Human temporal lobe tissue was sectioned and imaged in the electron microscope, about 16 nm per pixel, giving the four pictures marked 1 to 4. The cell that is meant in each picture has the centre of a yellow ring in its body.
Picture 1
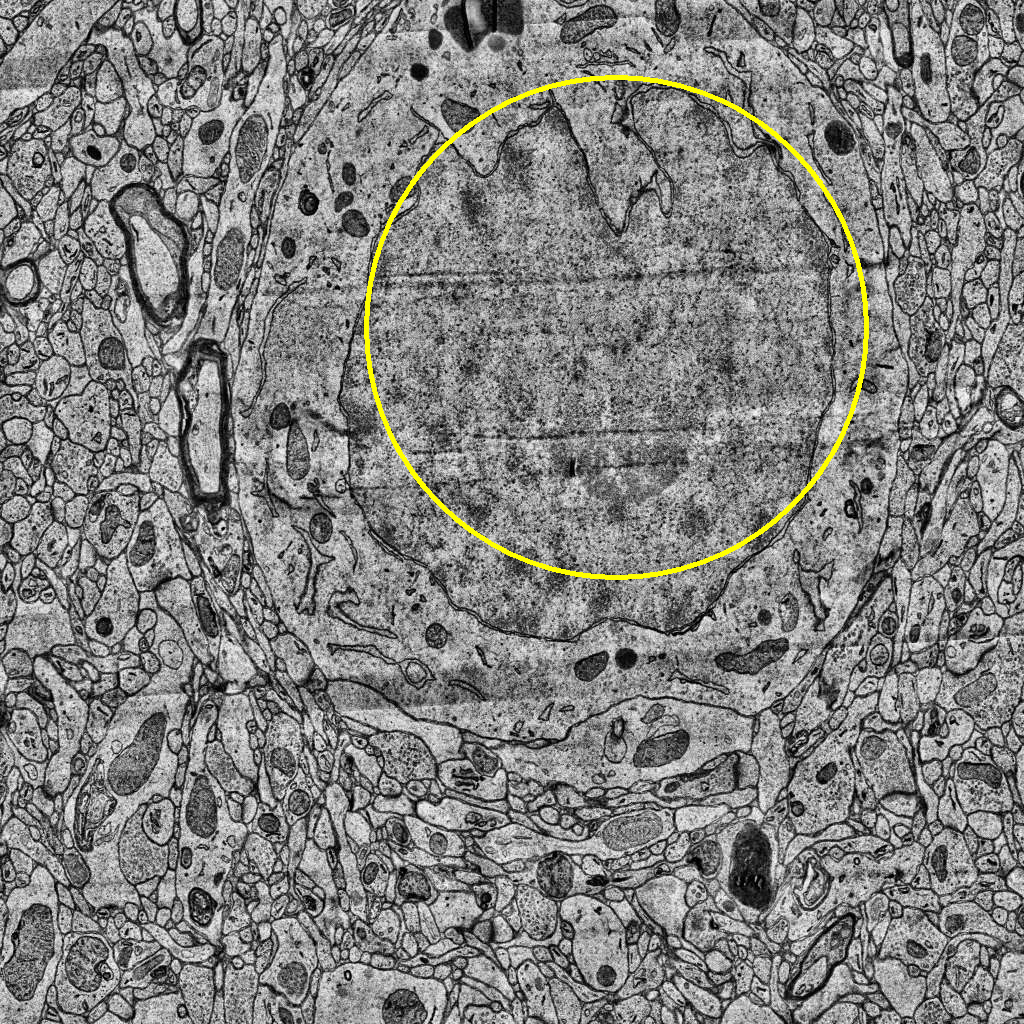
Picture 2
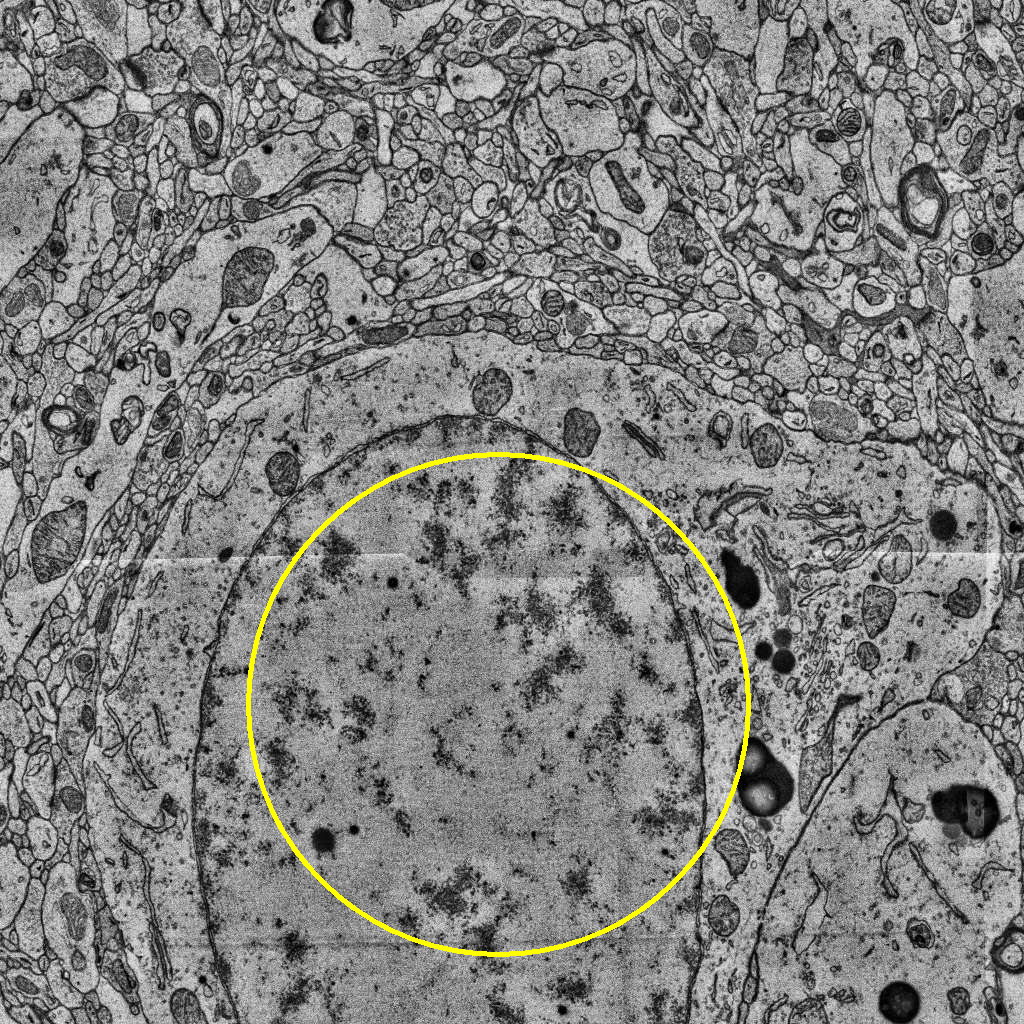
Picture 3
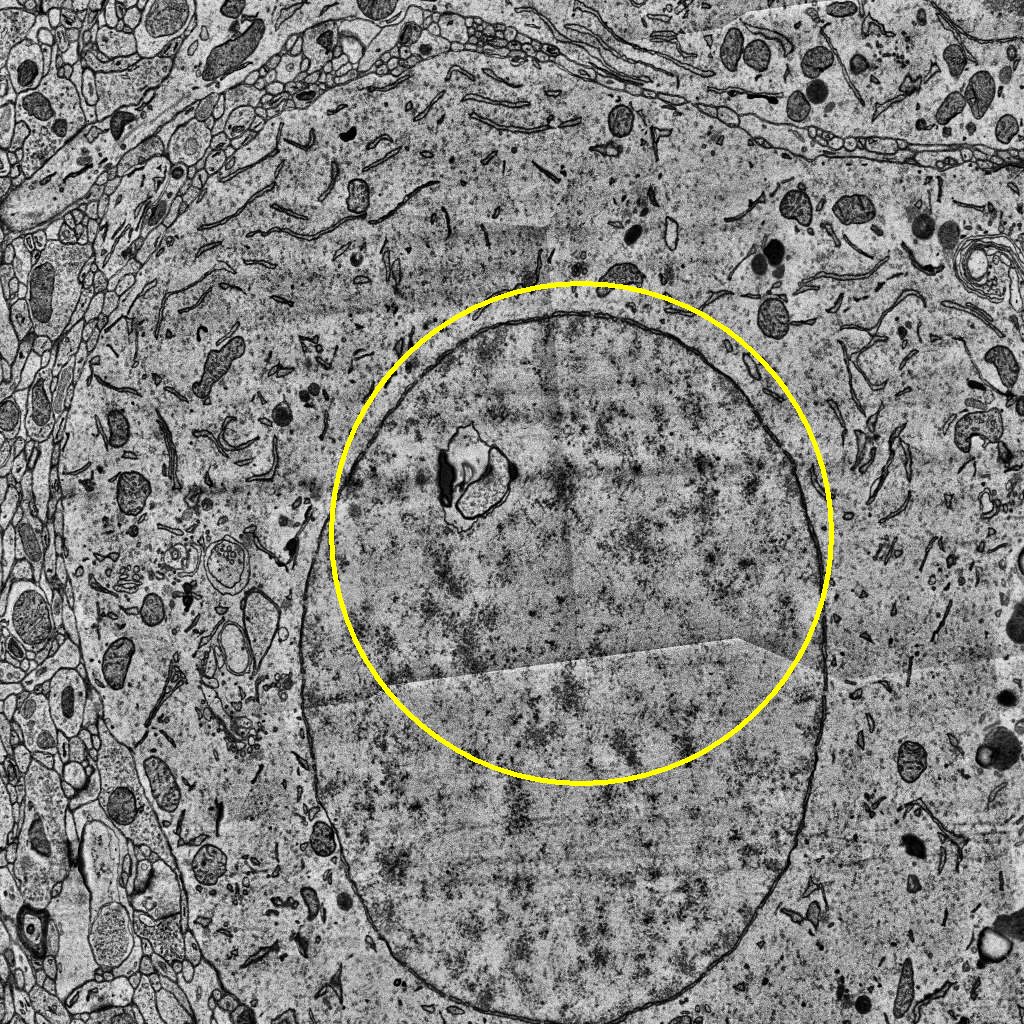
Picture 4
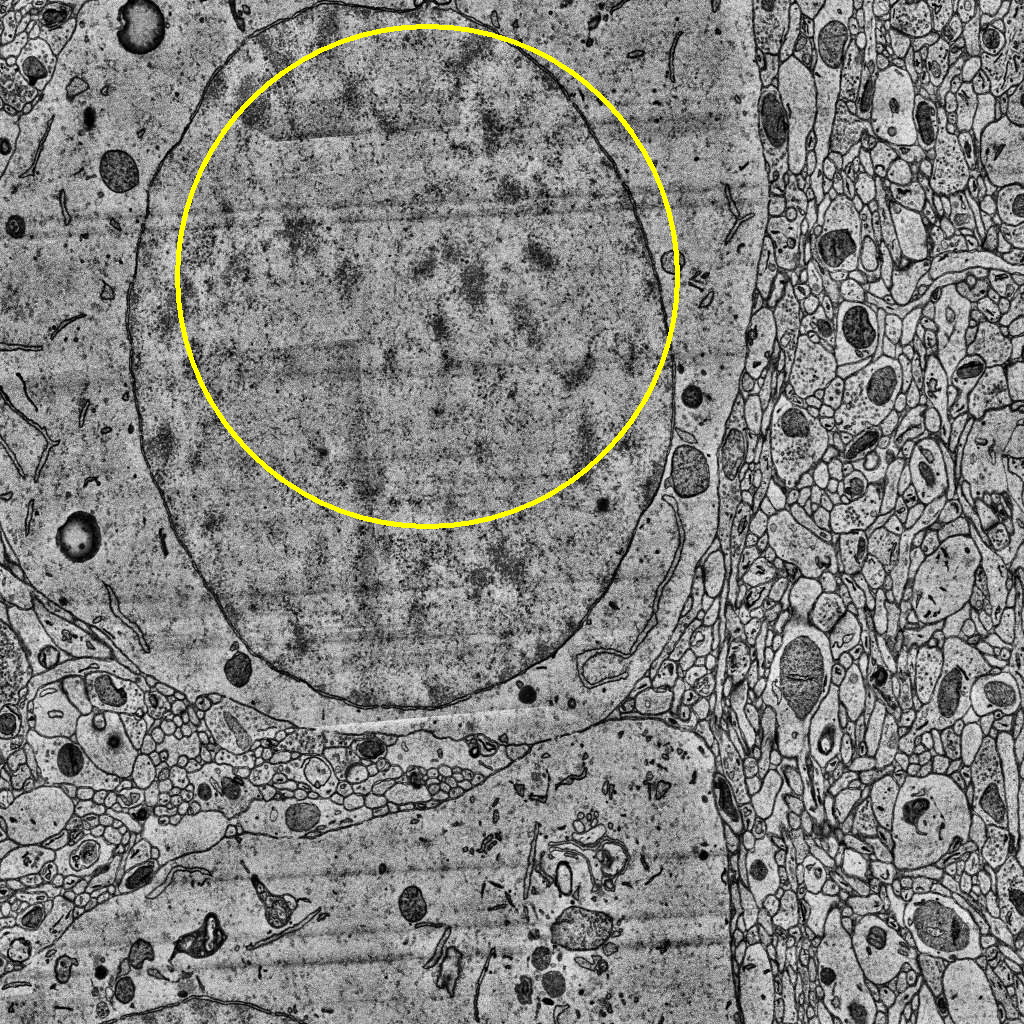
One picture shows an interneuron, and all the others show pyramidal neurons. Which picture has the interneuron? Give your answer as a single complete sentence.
The cell in picture 1 is the interneuron.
